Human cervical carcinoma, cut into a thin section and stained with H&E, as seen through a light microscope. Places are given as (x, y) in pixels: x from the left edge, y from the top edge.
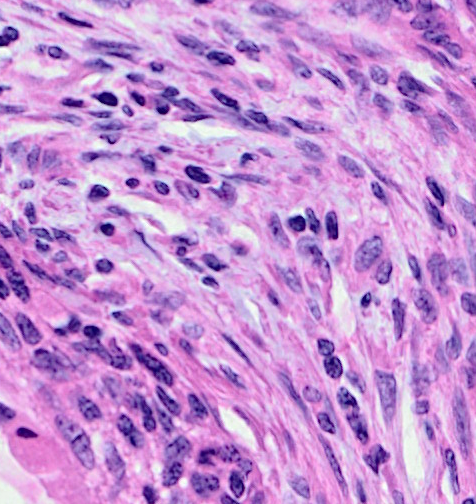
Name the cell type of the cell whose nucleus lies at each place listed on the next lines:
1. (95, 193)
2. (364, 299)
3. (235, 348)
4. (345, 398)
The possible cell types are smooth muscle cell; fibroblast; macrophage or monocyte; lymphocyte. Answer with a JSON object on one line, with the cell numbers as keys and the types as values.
{"1": "lymphocyte", "2": "lymphocyte", "3": "fibroblast", "4": "lymphocyte"}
